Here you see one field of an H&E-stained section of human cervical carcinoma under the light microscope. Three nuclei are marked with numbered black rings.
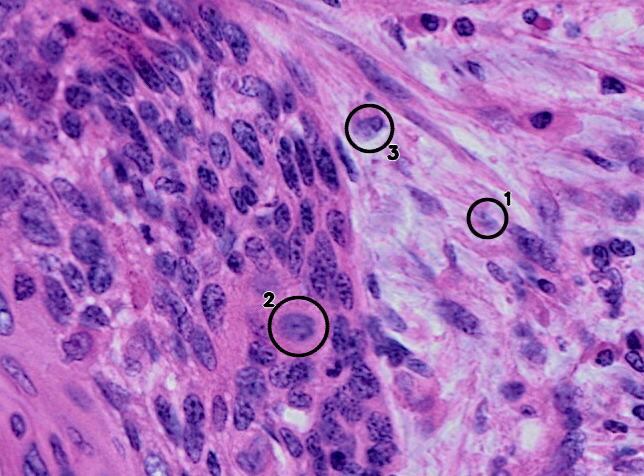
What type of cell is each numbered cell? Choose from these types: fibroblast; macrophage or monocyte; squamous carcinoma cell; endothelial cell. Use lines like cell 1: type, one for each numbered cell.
cell 1: fibroblast
cell 2: squamous carcinoma cell
cell 3: macrophage or monocyte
